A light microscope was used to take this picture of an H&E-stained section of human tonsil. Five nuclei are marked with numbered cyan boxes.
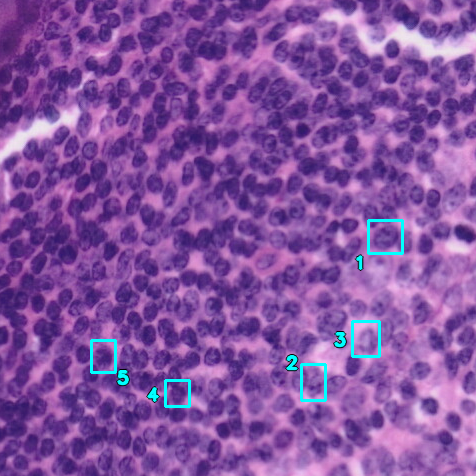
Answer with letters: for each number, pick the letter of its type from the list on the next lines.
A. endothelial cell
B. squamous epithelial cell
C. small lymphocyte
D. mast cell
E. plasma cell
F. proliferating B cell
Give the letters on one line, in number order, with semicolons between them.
F; F; F; C; C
